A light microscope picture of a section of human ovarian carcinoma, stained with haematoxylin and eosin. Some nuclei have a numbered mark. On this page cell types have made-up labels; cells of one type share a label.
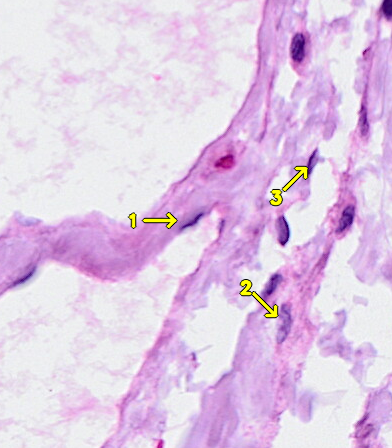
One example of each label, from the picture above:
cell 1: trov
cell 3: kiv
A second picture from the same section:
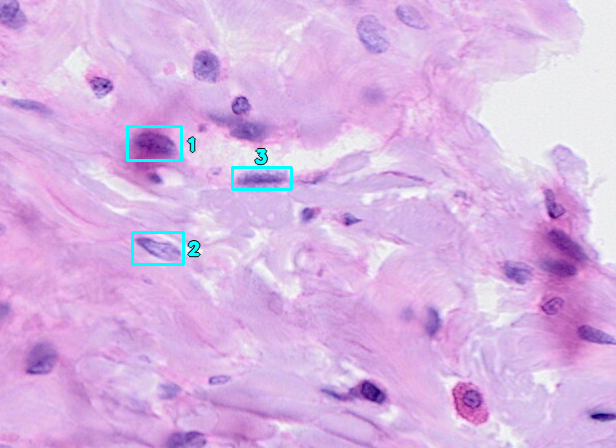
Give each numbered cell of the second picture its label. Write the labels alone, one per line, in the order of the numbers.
trov
kiv
trov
